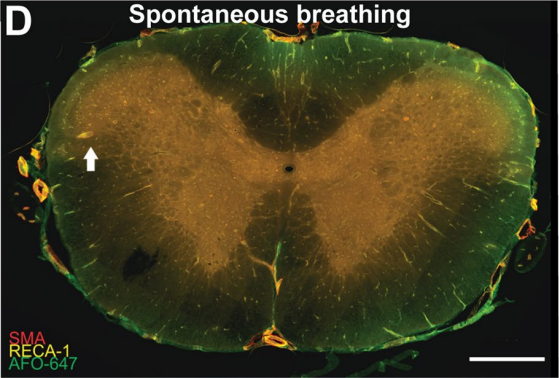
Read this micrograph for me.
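The section of spinal cord shows an orange butterfly of grey matter surrounded by greener white matter, with a small dark central canal in the middle. Vessels with yellow-red rings sit on the surface and in the ventral fissure, and thinner lines cross the white matter radially. Green fluorescence lines the pial surface and accompanies these vessels, arterioles and venules alike.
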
